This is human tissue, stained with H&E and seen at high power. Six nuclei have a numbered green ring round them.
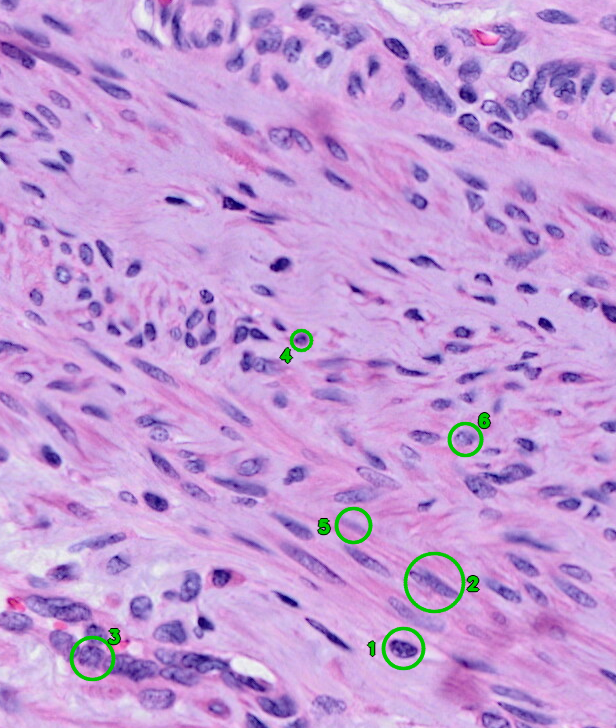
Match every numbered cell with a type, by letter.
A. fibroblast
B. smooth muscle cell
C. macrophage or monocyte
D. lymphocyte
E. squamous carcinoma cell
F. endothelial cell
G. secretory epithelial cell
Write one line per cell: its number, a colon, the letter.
1: D
2: B
3: F
4: B
5: B
6: B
